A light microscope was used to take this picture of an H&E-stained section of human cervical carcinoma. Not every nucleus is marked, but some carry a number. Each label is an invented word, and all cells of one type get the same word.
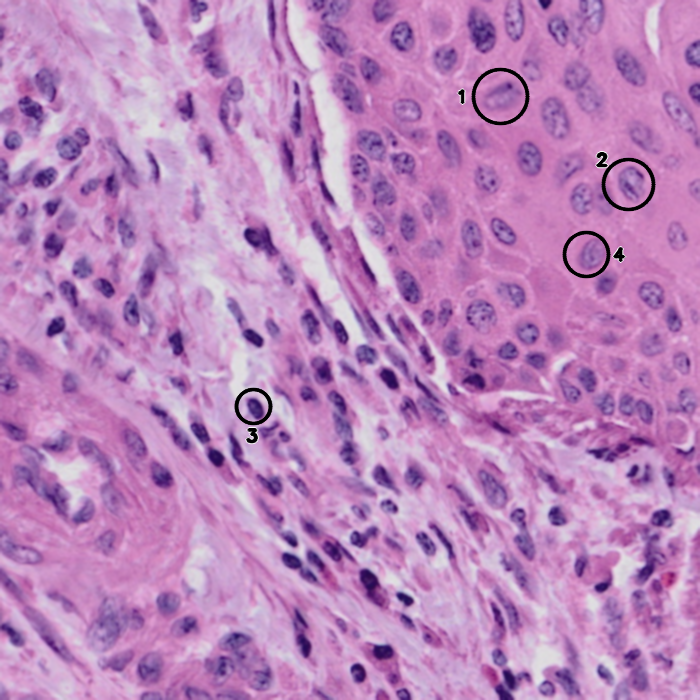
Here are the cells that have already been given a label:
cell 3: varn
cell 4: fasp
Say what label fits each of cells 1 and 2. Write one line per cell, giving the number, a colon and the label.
1: fasp
2: fasp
